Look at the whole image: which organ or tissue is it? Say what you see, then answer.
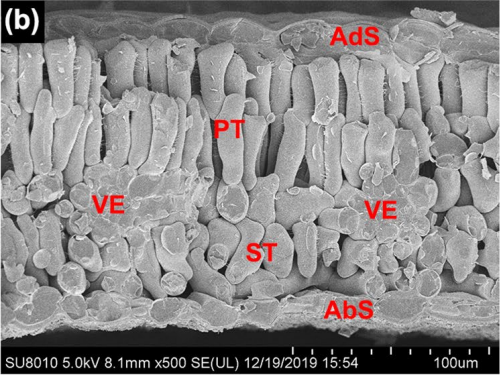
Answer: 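Columns of elongated cells stand in a row beneath an upper surface layer. Looser rounded cells fill the lower half above a lower surface layer. That points to this answer: leaf cross sections.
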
